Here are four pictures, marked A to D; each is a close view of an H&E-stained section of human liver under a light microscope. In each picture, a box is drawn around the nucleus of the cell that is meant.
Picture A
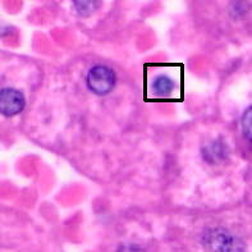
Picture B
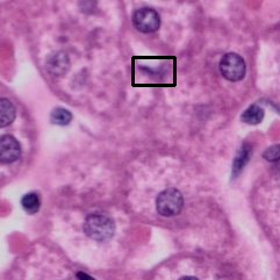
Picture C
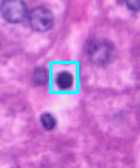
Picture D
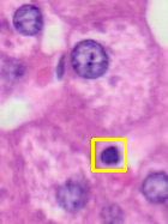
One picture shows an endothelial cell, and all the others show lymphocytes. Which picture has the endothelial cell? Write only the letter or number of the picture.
B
